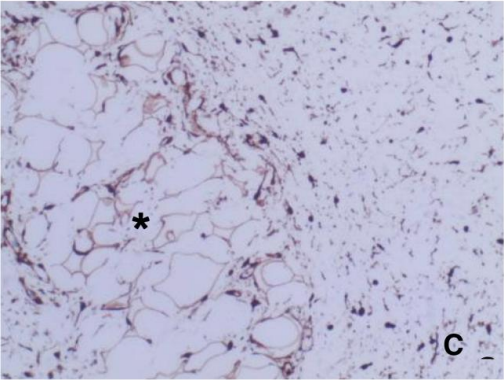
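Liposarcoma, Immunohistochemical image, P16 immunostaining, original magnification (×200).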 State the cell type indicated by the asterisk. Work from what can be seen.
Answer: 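The asterisk lies among large, empty, rounded spaces. Each space is rimmed by a thin membrane-like outline. The spaces vary clearly in size.
Mature adipocytes.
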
